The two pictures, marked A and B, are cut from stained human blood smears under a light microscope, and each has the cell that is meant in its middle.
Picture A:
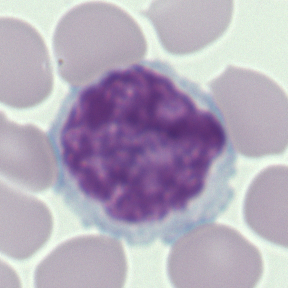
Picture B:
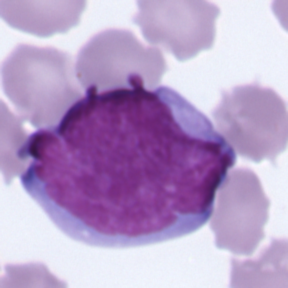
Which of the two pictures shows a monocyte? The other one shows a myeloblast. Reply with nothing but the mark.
A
